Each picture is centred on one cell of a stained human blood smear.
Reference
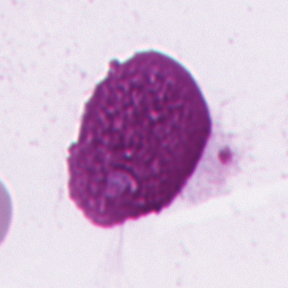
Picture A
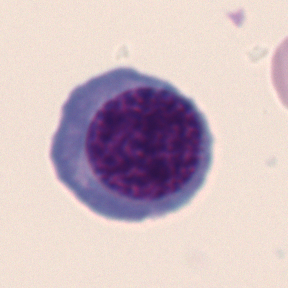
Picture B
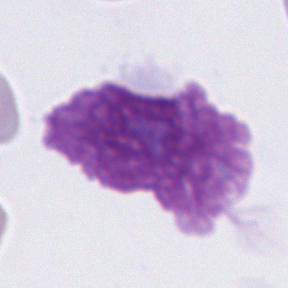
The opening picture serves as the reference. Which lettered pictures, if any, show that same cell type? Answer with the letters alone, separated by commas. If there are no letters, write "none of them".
B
